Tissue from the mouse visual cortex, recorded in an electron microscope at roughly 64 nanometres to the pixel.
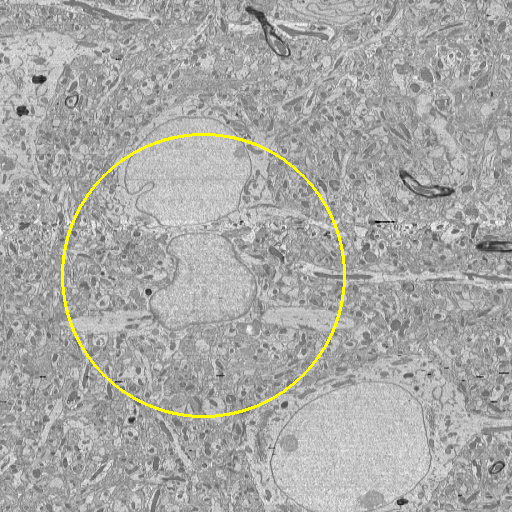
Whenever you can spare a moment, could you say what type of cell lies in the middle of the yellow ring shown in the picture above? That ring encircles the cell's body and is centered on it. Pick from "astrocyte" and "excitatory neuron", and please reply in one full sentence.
The cell whose body sits at the middle of the yellow ring is an astrocyte.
